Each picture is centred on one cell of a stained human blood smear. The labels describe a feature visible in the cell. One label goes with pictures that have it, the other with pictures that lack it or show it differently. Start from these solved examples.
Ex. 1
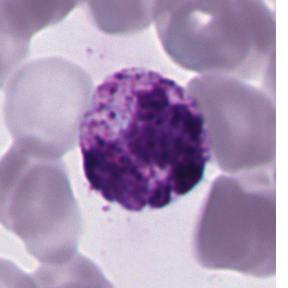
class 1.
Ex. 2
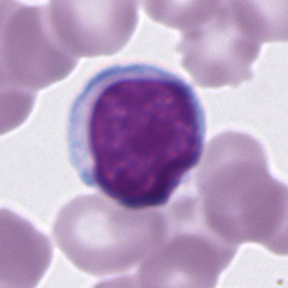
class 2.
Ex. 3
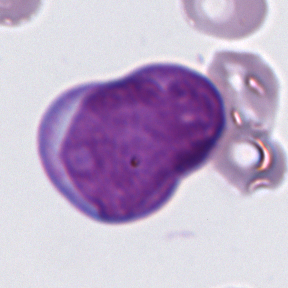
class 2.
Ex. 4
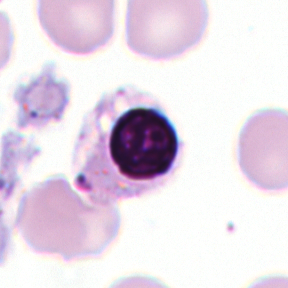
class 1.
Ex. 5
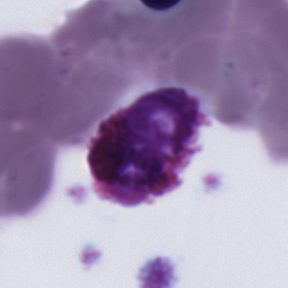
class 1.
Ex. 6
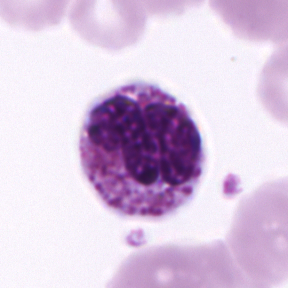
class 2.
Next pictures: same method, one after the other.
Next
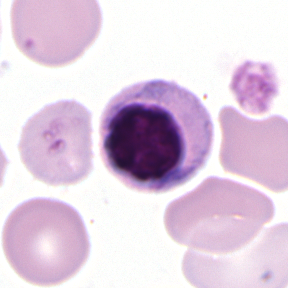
class 2.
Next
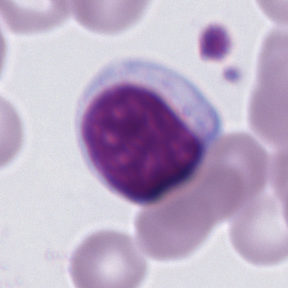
class 2.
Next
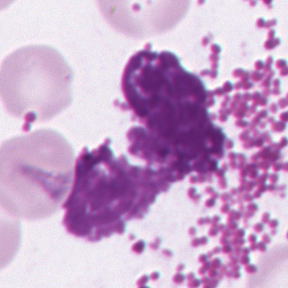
class 1.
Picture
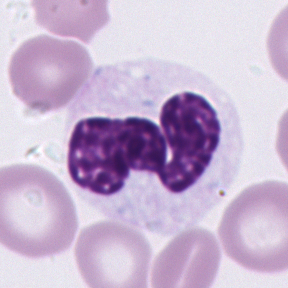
class 2.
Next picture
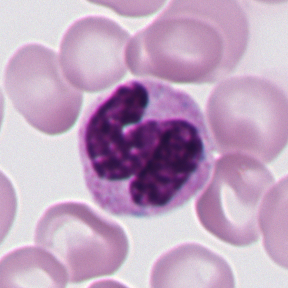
class 2.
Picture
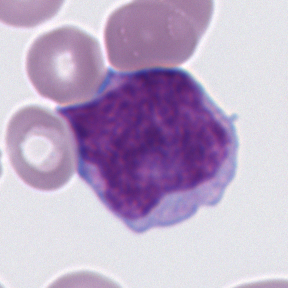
class 1.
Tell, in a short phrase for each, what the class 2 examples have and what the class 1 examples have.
class 2: smooth outline; class 1: ragged outline or projections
